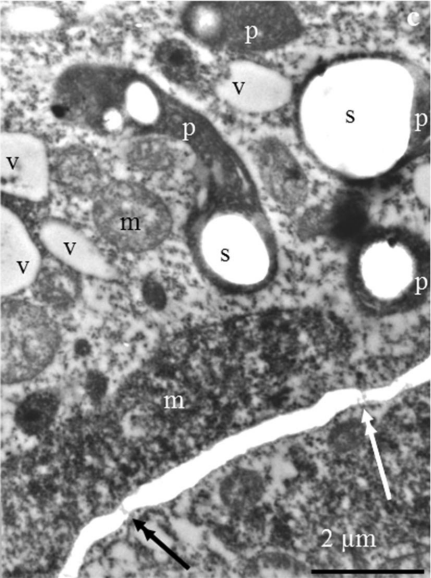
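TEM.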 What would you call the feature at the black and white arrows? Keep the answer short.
Plasmodesmata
